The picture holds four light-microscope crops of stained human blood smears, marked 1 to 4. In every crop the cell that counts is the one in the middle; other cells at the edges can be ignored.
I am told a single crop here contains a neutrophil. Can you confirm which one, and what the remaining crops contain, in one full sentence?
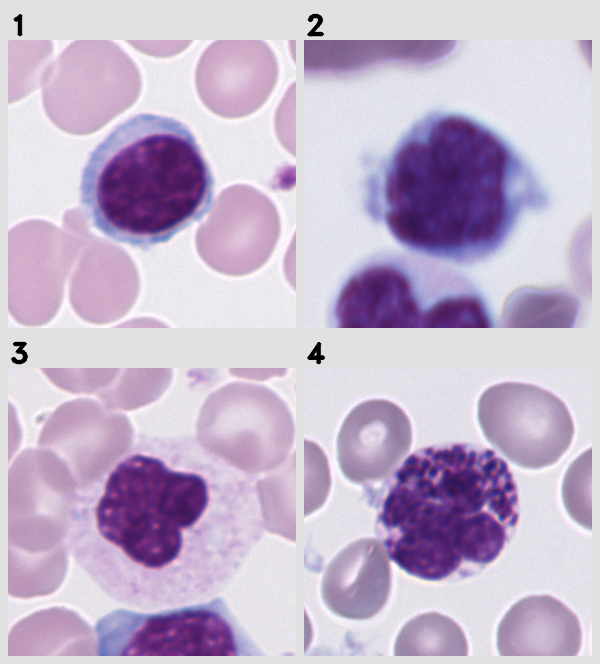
Crop 3 shows a neutrophil, and as for the other crops, crop 1 is a lymphocyte, crop 2 is a monocyte and crop 4 is a basophil.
